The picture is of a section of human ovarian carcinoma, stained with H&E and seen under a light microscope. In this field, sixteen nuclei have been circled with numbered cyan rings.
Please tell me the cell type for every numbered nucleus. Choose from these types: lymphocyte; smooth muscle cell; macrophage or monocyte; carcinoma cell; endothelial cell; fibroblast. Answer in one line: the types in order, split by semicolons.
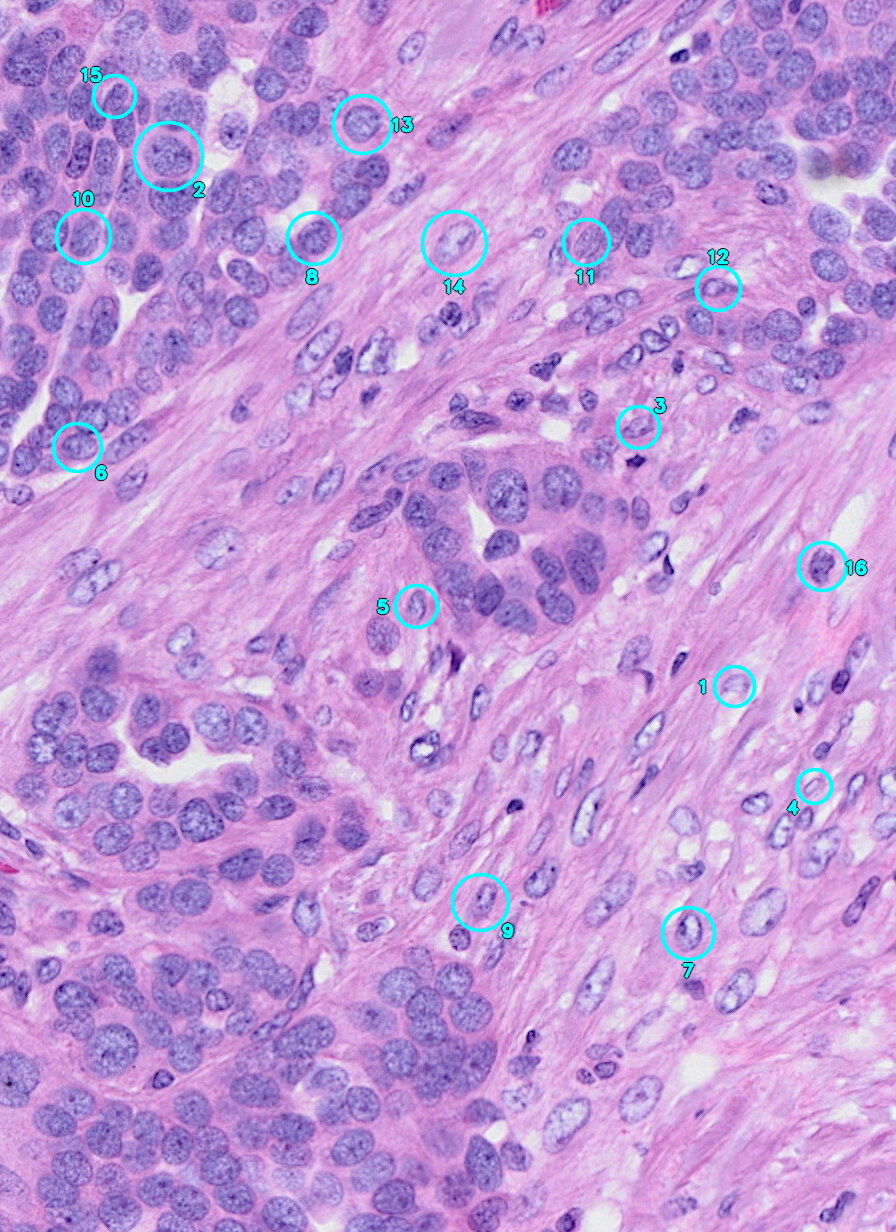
fibroblast; carcinoma cell; fibroblast; fibroblast; fibroblast; carcinoma cell; fibroblast; carcinoma cell; fibroblast; carcinoma cell; carcinoma cell; fibroblast; carcinoma cell; fibroblast; carcinoma cell; macrophage or monocyte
